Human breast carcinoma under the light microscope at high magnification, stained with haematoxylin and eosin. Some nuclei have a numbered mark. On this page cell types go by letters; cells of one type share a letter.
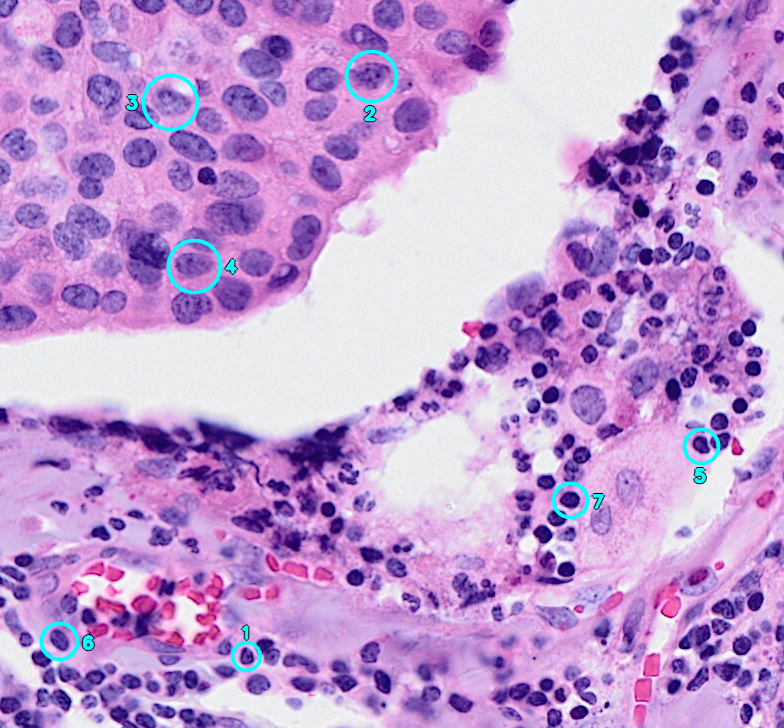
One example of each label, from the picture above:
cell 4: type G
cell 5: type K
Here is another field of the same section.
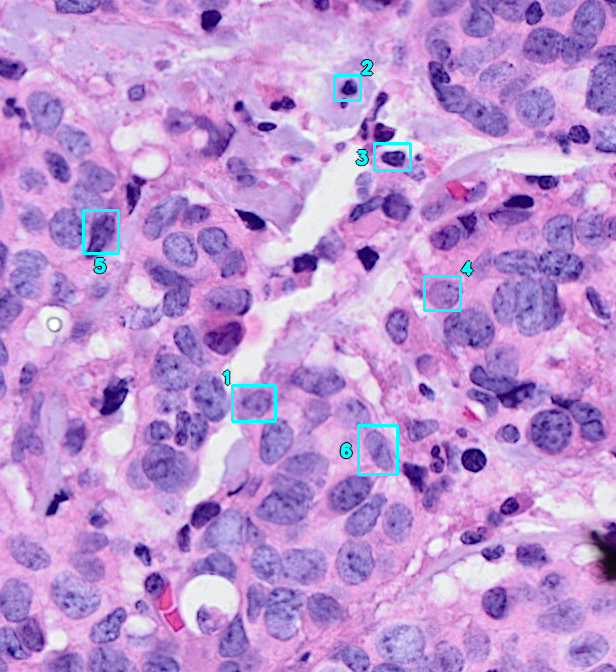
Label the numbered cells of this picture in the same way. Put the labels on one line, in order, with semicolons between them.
type G; type K; type K; type G; type G; type G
